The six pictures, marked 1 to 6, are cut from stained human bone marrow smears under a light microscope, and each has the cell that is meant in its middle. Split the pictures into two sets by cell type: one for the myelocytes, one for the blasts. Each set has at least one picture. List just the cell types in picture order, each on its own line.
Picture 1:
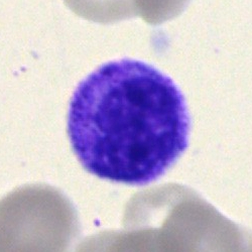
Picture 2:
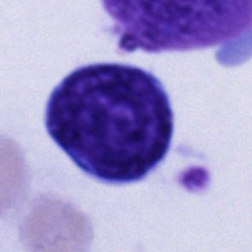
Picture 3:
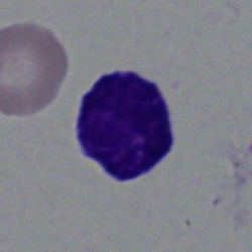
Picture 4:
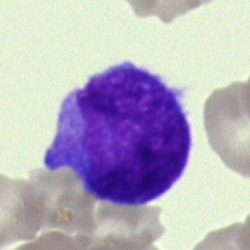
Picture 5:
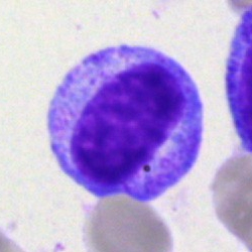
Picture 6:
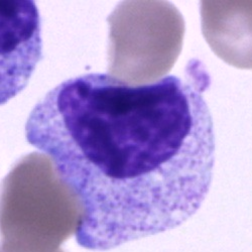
myelocyte
blast
blast
blast
myelocyte
myelocyte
